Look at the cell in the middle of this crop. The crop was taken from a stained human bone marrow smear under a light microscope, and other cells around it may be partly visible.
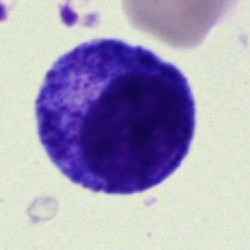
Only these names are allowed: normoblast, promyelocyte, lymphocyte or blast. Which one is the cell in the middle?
promyelocyte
